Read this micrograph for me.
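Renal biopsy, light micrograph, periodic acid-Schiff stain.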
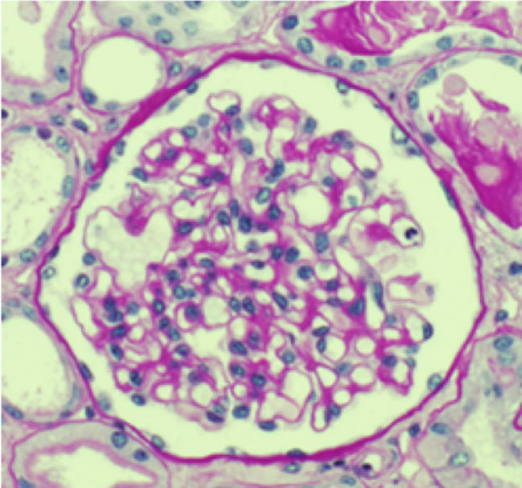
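The capillary loops are mostly open, and their walls show as delicate magenta lines with blue nuclei of the lining and supporting cells scattered between them. The supporting regions between the loops are not widened into rounded nodules. Around the capsule lie cross-sections of tubules with pale cytoplasm and blue nuclei, some with magenta material in their lumens.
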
